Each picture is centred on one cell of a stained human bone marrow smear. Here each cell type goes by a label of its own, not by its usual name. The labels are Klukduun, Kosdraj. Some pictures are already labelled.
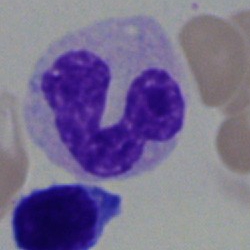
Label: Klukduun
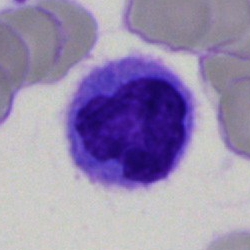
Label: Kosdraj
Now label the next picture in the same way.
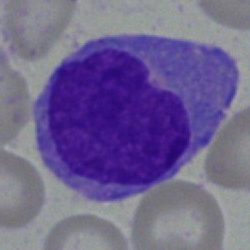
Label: Kosdraj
